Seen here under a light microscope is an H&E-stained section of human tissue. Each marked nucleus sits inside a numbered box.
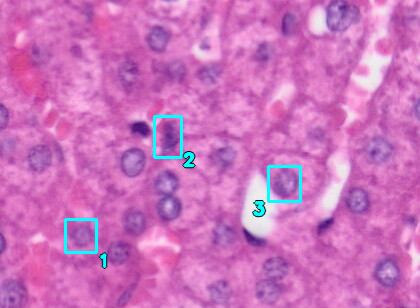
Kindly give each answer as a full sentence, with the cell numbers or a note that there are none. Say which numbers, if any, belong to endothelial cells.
Only the cell with number 2 is an endothelial cell.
